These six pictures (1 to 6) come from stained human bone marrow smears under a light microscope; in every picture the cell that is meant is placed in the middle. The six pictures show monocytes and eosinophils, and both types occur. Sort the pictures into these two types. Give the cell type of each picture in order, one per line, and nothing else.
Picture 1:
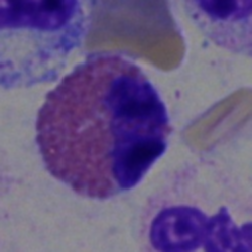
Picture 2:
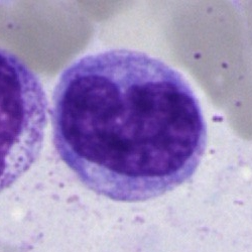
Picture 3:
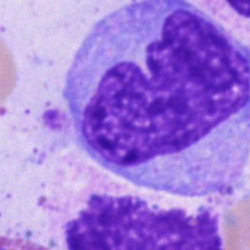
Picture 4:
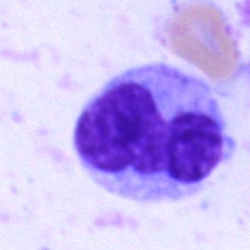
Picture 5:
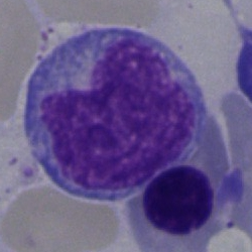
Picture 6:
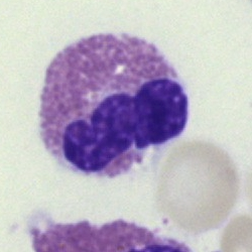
eosinophil
monocyte
monocyte
monocyte
monocyte
eosinophil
